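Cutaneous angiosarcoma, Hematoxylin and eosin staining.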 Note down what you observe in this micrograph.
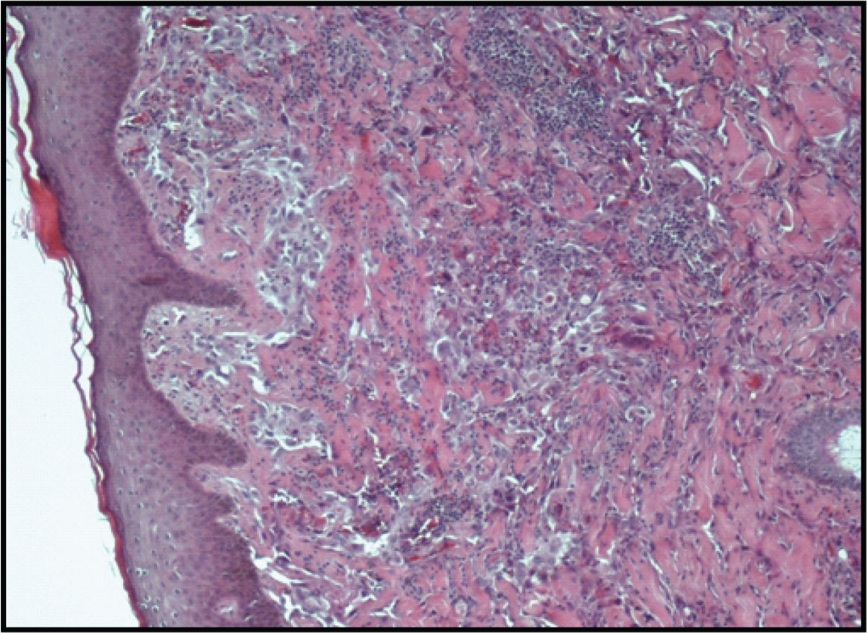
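This is skin in which the dermis is densely filled with infiltrating tumor cells beneath an intact epidermis. Along the left edge lies a stratified squamous epidermis with a thin pink surface layer and downward-projecting ridges. The underlying connective tissue is strikingly cellular: many small, dark purple nuclei lie crowded between pink collagen bundles, in places forming dense clusters. Irregular clefts and spaces run through the tissue, and scattered bright red blood cells lie freely among the cells. An adnexal structure is seen at the right edge, surrounded by the infiltrate.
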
